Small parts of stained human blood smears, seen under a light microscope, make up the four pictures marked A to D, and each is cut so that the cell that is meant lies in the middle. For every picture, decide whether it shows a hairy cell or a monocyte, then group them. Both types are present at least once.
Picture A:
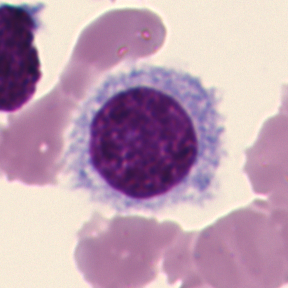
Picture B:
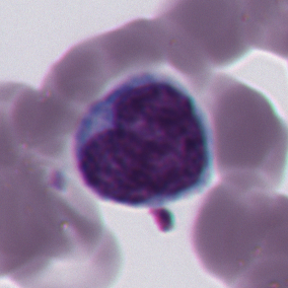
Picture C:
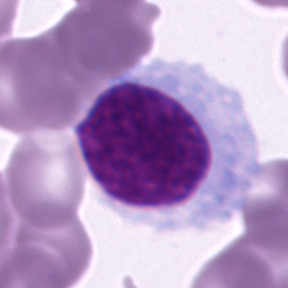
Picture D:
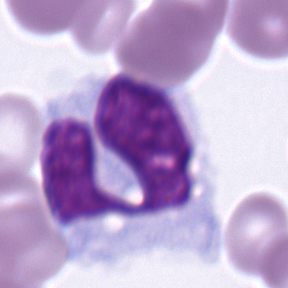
A: hairy cell
B: monocyte
C: hairy cell
D: monocyte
